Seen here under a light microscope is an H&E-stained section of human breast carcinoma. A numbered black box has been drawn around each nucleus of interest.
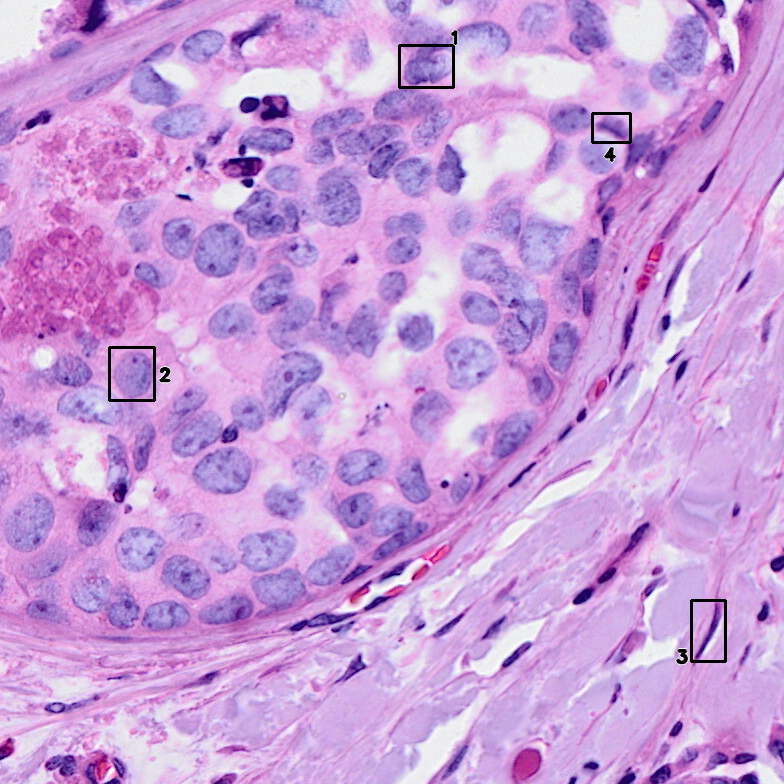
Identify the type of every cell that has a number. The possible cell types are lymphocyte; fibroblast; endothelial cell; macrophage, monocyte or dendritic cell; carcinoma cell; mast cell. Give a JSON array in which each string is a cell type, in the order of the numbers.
["carcinoma cell", "carcinoma cell", "fibroblast", "carcinoma cell"]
